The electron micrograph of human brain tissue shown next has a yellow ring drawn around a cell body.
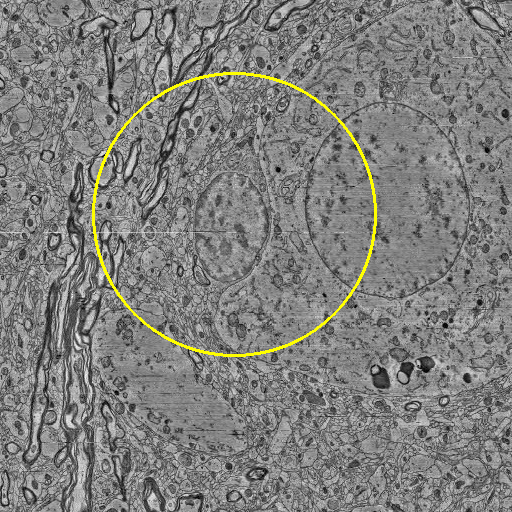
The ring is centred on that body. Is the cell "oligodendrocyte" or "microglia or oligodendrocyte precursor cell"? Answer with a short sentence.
The cell in question is an oligodendrocyte.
